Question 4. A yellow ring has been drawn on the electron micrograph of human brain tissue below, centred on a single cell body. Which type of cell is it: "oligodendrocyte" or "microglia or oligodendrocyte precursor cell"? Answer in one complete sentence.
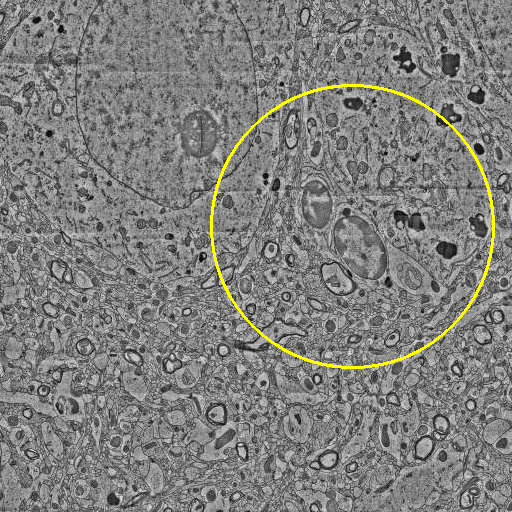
This cell body belongs to a microglial cell or oligodendrocyte precursor cell.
